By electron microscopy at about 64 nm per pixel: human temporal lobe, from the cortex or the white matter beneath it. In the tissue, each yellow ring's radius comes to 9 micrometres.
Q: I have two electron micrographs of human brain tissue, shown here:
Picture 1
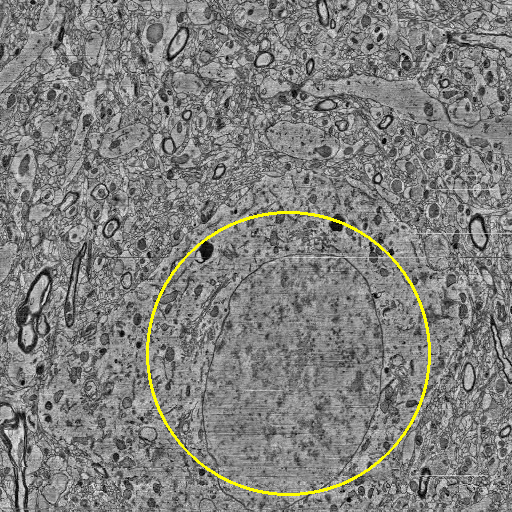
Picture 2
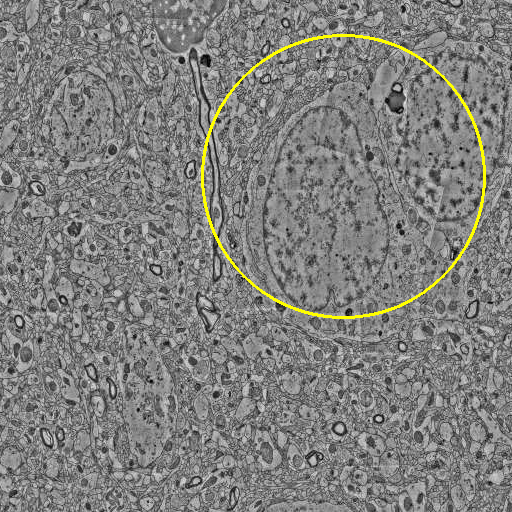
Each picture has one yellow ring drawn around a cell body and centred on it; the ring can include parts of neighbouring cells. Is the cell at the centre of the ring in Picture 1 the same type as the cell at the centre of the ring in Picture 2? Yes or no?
no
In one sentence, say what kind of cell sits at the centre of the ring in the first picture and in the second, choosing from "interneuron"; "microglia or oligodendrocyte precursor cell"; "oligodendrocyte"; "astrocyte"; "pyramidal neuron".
The first picture's ringed cell is a pyramidal neuron, while the second picture's is an interneuron.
